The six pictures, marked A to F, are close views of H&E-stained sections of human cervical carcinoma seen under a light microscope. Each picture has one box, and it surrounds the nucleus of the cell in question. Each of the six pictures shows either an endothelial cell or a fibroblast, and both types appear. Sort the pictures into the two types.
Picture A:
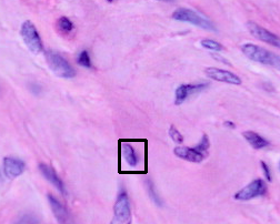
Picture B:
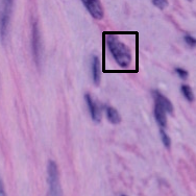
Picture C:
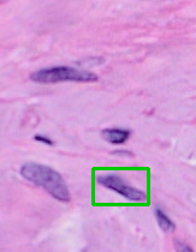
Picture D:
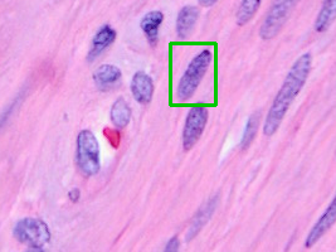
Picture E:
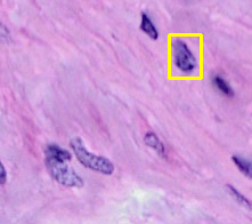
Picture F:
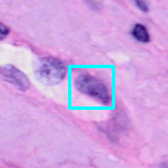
A: fibroblast
B: endothelial cell
C: fibroblast
D: fibroblast
E: fibroblast
F: endothelial cell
